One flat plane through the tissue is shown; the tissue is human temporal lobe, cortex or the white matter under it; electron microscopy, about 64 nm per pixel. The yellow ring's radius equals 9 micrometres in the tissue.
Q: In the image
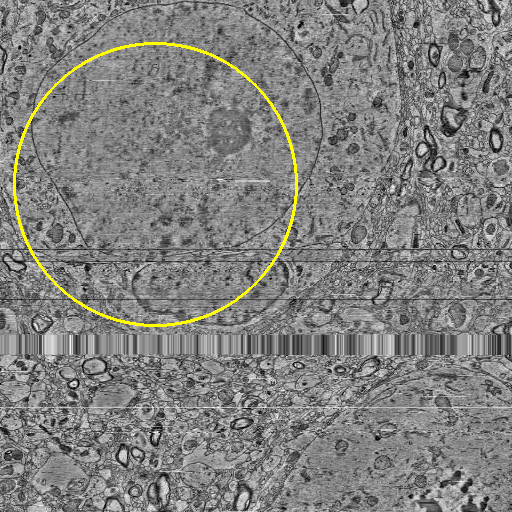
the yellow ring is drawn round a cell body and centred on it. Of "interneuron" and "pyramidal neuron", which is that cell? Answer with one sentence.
The cell centred in the ring is a pyramidal neuron.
